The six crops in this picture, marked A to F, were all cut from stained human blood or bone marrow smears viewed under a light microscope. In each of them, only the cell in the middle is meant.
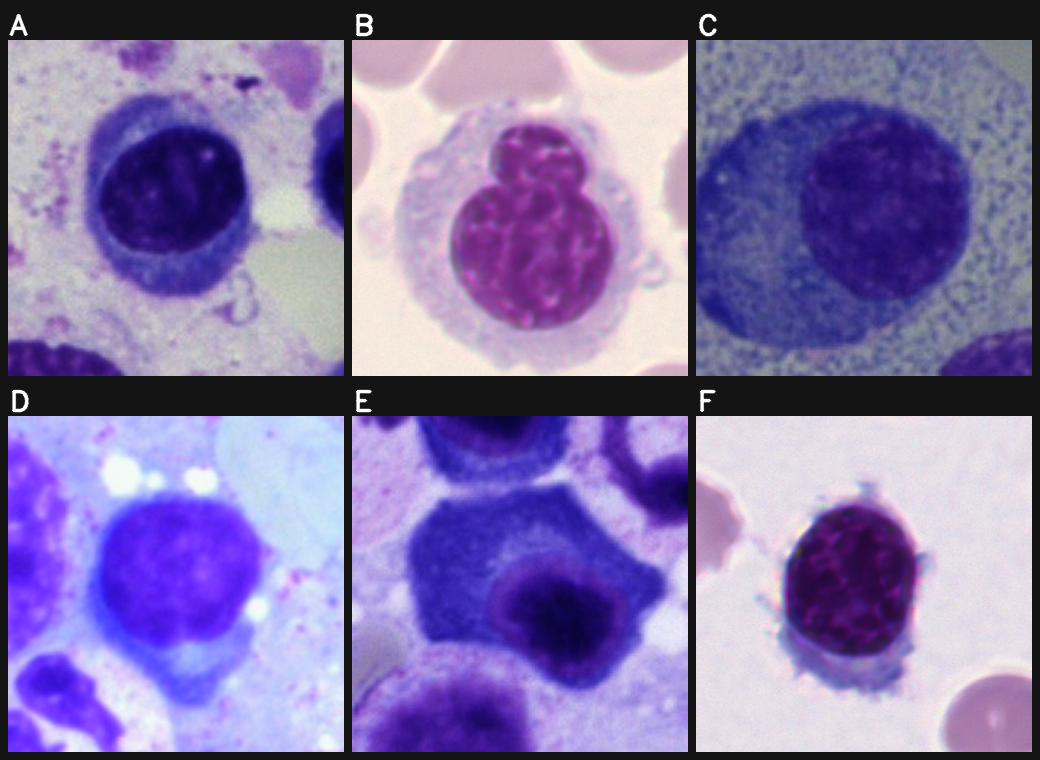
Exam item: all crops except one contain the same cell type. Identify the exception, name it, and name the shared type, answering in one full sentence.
The exception is crop D, with a lymphocyte; the remaining crops all show plasma cells.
